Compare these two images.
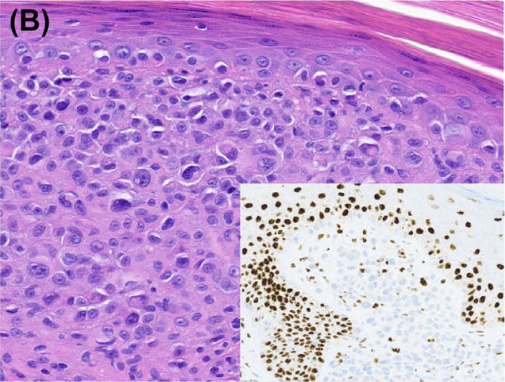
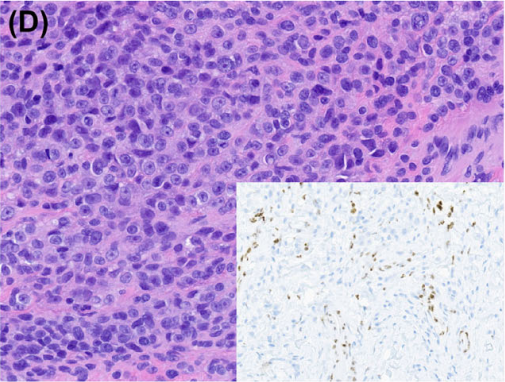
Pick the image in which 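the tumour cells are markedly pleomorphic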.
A: the first image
